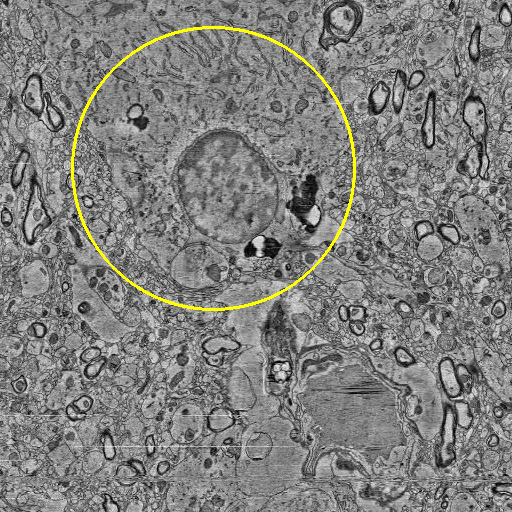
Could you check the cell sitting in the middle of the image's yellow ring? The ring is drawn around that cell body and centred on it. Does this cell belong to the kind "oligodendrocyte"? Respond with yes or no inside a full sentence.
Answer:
Yes, this cell in the middle of the yellow ring is one of that kind.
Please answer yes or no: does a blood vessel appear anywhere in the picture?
Yes, one appears.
